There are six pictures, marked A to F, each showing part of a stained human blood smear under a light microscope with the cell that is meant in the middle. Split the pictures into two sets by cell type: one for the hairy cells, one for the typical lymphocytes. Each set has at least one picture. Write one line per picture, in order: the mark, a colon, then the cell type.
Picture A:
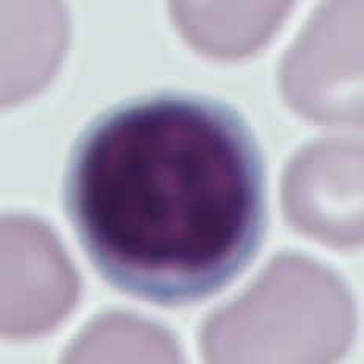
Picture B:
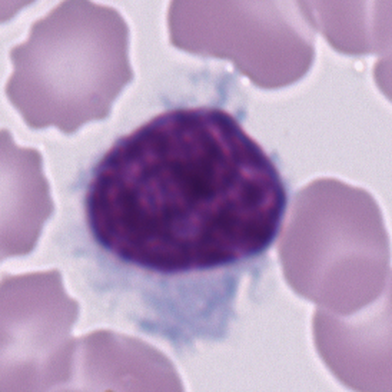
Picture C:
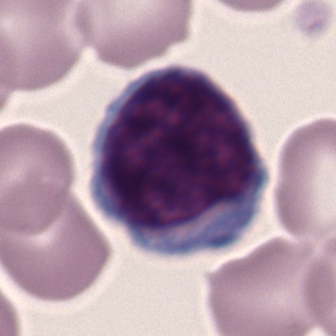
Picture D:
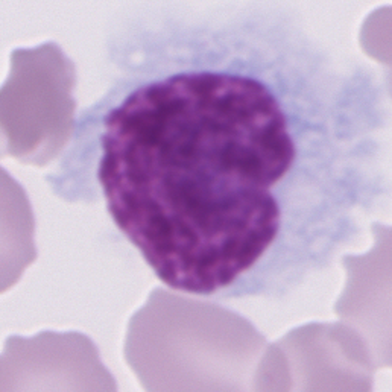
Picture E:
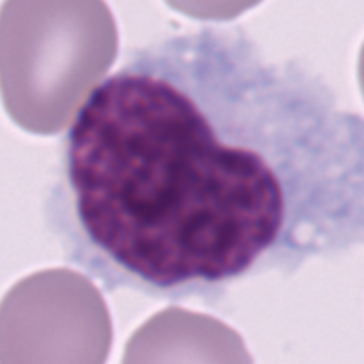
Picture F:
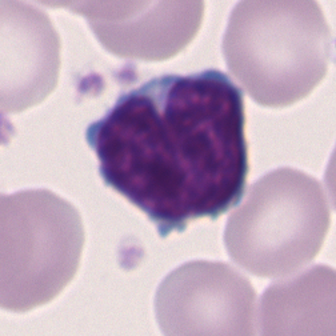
A: typical lymphocyte
B: hairy cell
C: typical lymphocyte
D: hairy cell
E: hairy cell
F: typical lymphocyte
